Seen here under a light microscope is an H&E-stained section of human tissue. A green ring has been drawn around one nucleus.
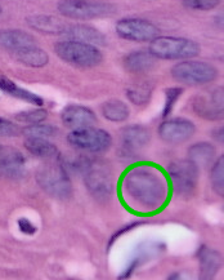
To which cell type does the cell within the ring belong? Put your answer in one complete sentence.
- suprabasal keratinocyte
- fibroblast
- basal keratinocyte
As a matter of cell type, the cell within the ring is a basal keratinocyte.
